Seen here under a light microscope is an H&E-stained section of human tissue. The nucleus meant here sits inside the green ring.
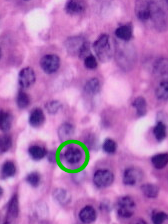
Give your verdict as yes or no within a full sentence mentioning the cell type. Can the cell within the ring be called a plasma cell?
Yes, that is right: the cell within the ring is a plasma cell.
